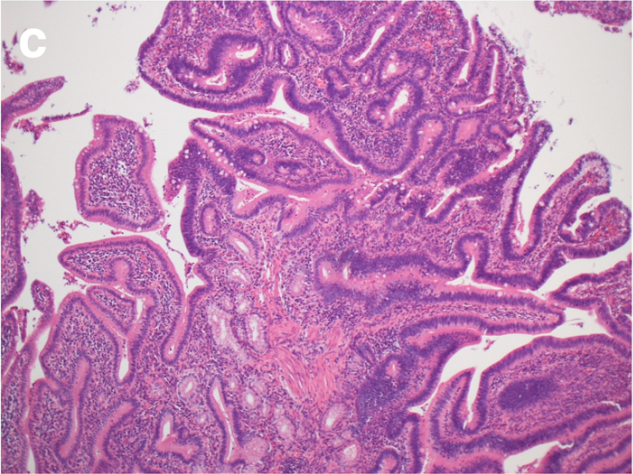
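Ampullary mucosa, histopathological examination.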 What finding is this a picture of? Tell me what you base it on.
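Glands and papillary fronds are lined by crowded columnar epithelium with dark, elongated nuclei. The epithelial nuclei are stratified and more hyperchromatic than normal lining. Glands are irregular in shape and branching.
Answer: moderately atypical glands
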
